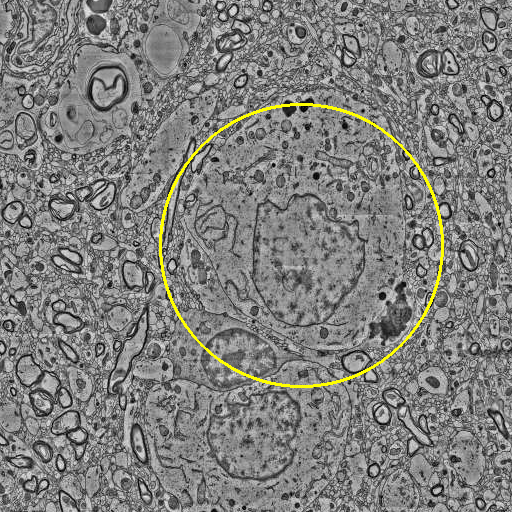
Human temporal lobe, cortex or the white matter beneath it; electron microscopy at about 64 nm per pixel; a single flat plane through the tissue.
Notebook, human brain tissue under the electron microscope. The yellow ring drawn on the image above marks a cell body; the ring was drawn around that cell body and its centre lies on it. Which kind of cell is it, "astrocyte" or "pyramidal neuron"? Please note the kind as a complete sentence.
The marked cell body is that of a pyramidal neuron.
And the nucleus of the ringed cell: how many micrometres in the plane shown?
In this plane the nucleus is about 8 micrometres by 7.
